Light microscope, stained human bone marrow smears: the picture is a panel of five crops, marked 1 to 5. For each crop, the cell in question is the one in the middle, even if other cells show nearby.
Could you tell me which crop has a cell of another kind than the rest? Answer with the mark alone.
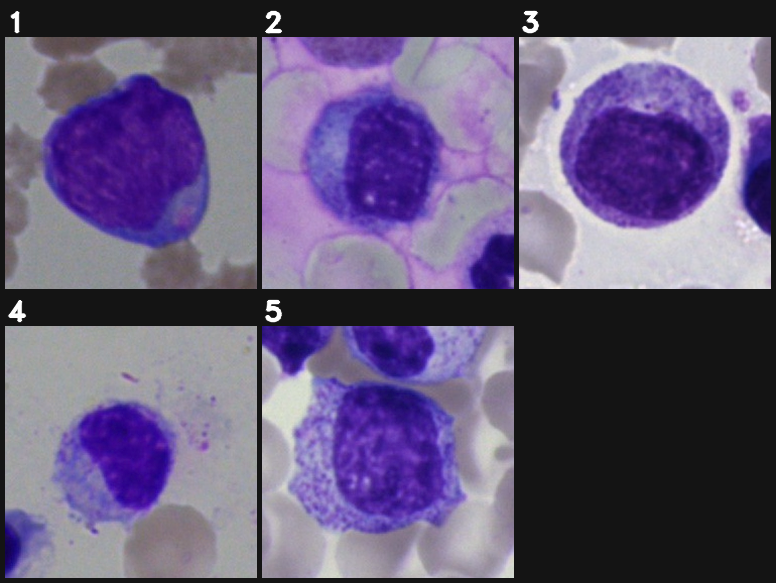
1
